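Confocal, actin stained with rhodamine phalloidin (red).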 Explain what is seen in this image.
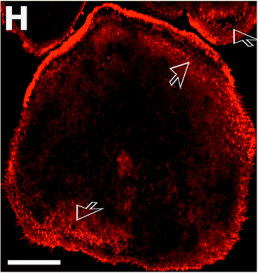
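A large, rounded, flat osteoclast is outlined by a broad band of fine red dots, the podosomes, crowded along its periphery. The centre of the cell is dark with only faint scattered dots. The edge of a neighbouring cell appears at the upper right.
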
